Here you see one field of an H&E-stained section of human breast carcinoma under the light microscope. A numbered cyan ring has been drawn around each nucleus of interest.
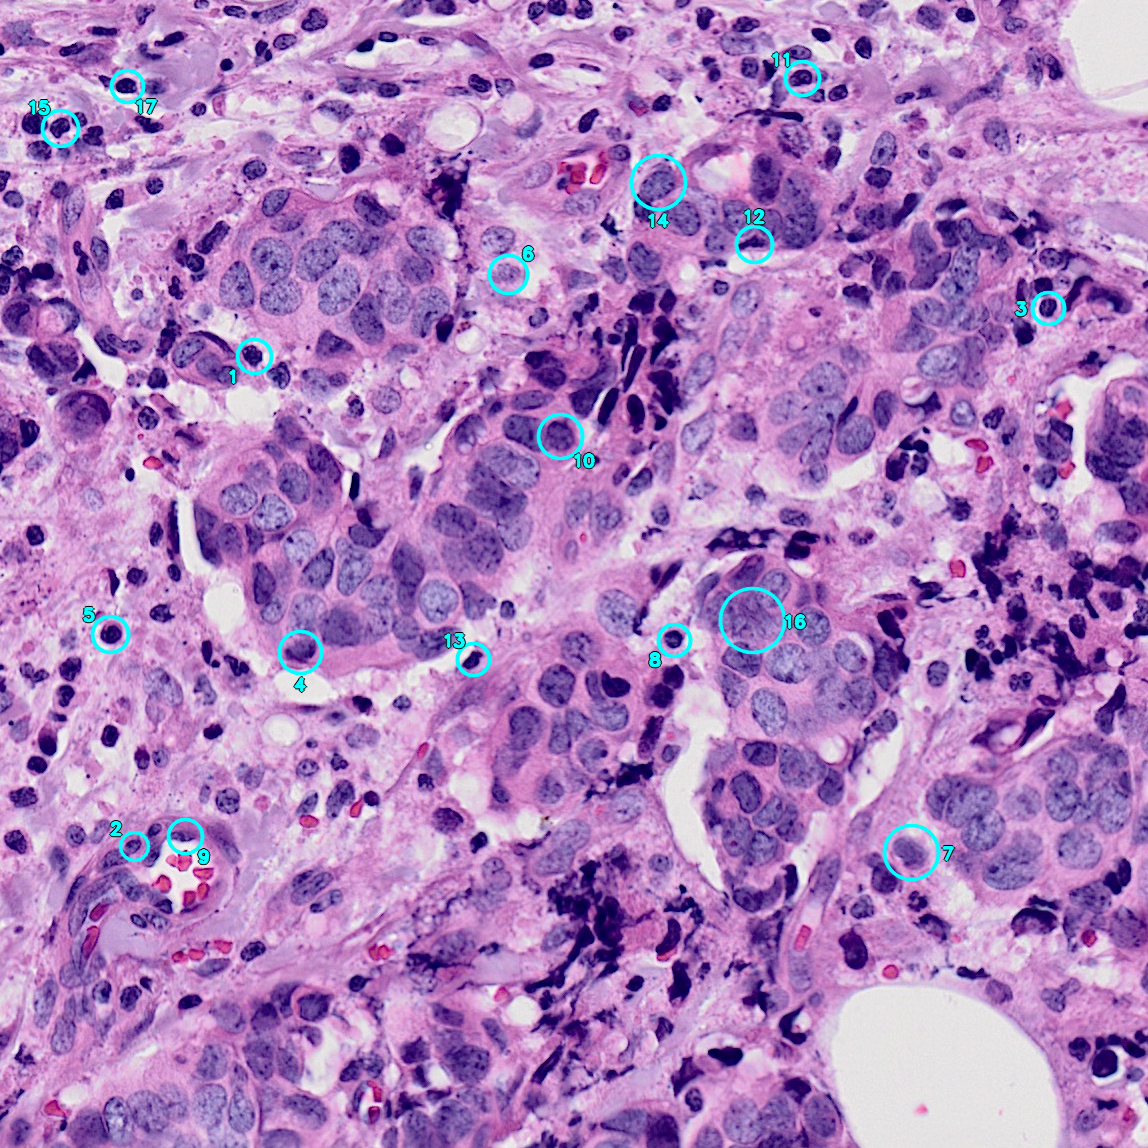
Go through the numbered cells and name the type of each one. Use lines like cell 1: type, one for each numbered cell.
cell 1: lymphocyte
cell 2: endothelial cell
cell 3: lymphocyte
cell 4: carcinoma cell
cell 5: lymphocyte
cell 6: macrophage, monocyte or dendritic cell
cell 7: carcinoma cell
cell 8: lymphocyte
cell 9: endothelial cell
cell 10: carcinoma cell
cell 11: lymphocyte
cell 12: carcinoma cell
cell 13: lymphocyte
cell 14: carcinoma cell
cell 15: lymphocyte
cell 16: carcinoma cell
cell 17: lymphocyte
